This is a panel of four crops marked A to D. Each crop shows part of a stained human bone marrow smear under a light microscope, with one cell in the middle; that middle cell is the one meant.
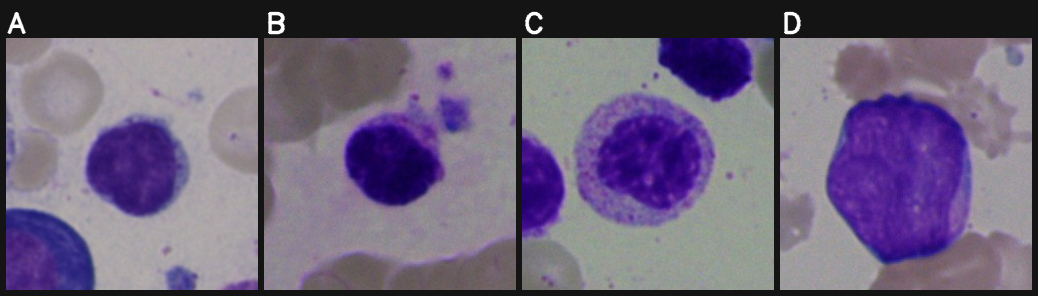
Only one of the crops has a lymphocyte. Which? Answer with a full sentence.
Crop A, and no other, shows a lymphocyte.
